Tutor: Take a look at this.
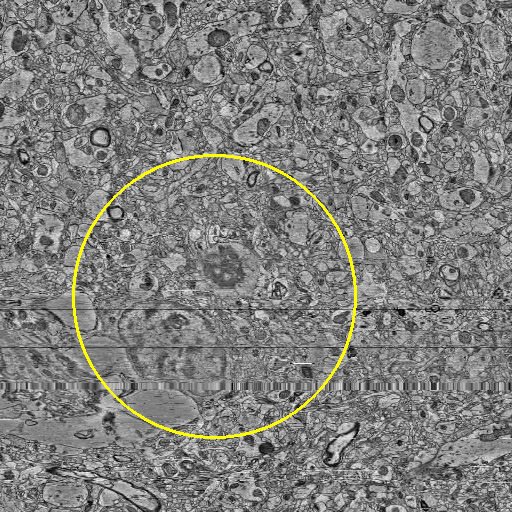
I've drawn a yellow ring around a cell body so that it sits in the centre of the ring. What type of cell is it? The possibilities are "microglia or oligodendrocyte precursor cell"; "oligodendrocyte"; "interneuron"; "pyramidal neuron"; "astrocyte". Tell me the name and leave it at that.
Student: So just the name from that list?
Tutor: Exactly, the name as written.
oligodendrocyte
